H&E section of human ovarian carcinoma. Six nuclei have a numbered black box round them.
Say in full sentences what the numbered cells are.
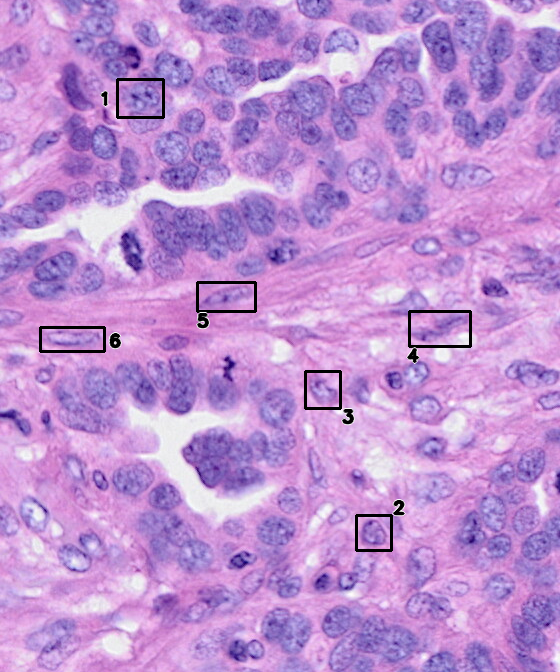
Cell 1 is a carcinoma cell, cell 2 is a macrophage or monocyte, cell 3 is a fibroblast, cell 4 is a fibroblast, cell 5 is a fibroblast and cell 6 is a fibroblast.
